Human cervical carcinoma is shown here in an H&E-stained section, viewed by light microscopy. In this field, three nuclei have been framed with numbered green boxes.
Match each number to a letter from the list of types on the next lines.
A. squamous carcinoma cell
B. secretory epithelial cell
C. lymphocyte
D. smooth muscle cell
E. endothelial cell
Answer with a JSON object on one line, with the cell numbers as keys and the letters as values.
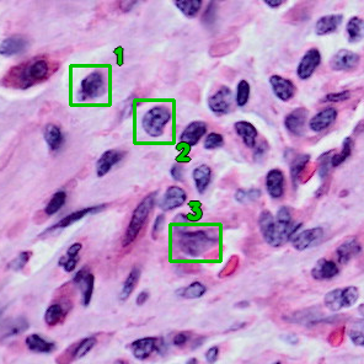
{"1": "C", "2": "C", "3": "E"}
